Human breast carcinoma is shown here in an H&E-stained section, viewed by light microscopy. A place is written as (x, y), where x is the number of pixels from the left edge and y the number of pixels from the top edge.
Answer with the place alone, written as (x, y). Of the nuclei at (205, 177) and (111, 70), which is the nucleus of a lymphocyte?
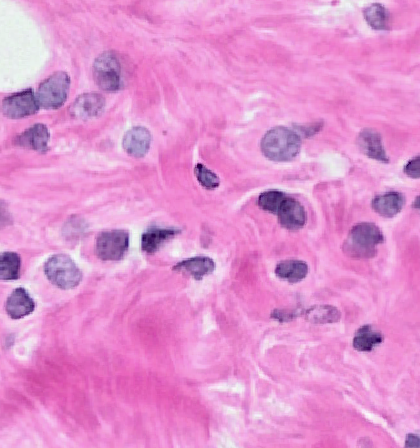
(205, 177)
